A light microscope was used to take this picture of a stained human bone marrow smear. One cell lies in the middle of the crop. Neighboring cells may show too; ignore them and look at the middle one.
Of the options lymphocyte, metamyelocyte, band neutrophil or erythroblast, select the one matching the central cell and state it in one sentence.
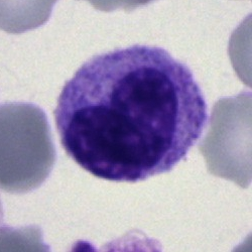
This crop is built around a metamyelocyte at its centre.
